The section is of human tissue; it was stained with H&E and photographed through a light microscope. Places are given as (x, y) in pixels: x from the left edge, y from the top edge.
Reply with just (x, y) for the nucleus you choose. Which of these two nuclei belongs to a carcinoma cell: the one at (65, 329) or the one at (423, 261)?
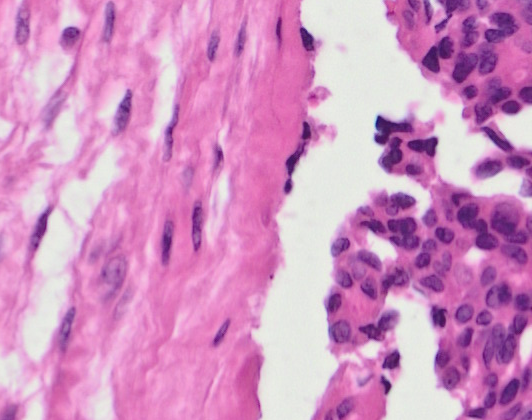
(423, 261)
